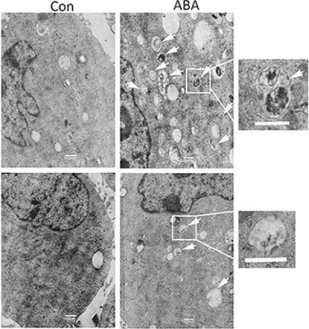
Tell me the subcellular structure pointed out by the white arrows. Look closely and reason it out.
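The arrows point to rounded membrane-bound vacuoles in the cytoplasm. Several of these vacuoles hold dense or membranous contents. So: autophagic vacuoles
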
